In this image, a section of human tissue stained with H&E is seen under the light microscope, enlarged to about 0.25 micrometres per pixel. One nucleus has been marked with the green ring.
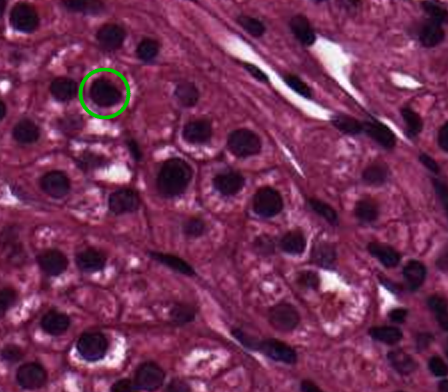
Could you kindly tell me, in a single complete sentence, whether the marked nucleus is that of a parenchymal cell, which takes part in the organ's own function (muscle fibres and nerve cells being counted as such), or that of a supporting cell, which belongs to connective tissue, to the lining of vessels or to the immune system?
The marked nucleus corresponds to a parenchymal cell, namely an adrenal cortical cell.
